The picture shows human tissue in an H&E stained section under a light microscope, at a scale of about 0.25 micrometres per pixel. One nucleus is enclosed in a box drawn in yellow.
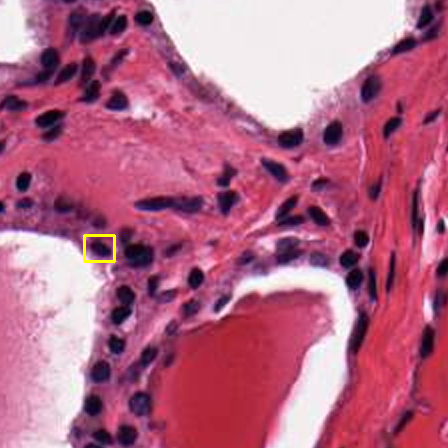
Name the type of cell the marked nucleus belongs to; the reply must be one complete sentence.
The marked nucleus is found in a thyroid follicular cell.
